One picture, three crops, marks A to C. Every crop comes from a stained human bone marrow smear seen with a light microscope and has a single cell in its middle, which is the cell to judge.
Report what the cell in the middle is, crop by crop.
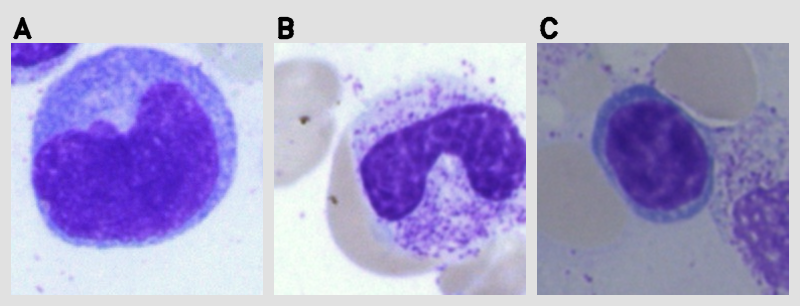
A: monocyte
B: band neutrophil
C: lymphocyte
